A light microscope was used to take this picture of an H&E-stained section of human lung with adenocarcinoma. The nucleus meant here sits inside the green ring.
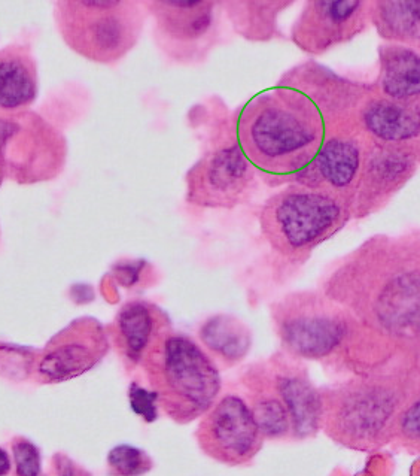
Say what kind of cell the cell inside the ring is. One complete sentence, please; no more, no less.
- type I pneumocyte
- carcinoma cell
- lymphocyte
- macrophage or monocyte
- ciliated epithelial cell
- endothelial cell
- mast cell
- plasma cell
Within this tissue, the cell inside the ring is a carcinoma cell.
